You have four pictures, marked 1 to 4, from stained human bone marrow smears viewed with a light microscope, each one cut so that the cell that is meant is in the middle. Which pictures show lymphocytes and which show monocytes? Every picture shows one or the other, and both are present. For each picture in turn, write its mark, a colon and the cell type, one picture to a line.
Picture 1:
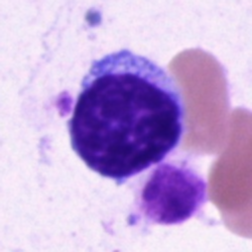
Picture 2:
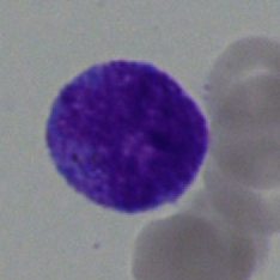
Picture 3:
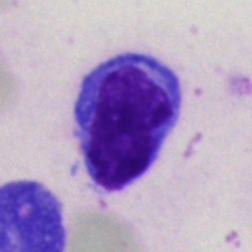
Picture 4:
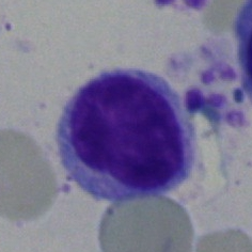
1: lymphocyte
2: monocyte
3: lymphocyte
4: lymphocyte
